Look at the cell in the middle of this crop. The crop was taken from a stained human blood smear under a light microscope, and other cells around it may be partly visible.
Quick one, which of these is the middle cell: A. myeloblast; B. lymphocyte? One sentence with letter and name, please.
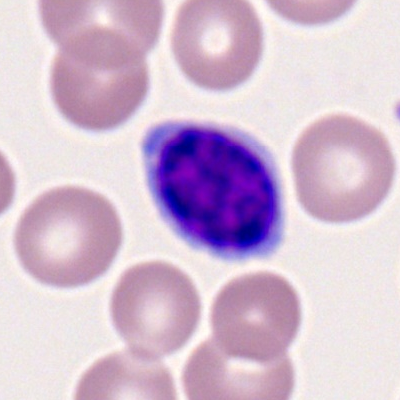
Since the cell in the centre is a lymphocyte, the correct option is B.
